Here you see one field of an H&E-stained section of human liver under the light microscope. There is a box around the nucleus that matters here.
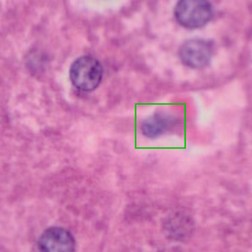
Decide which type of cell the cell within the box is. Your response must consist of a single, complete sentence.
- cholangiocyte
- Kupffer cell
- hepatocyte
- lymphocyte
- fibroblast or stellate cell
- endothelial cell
With respect to cell type, the cell within the box is a Kupffer cell.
